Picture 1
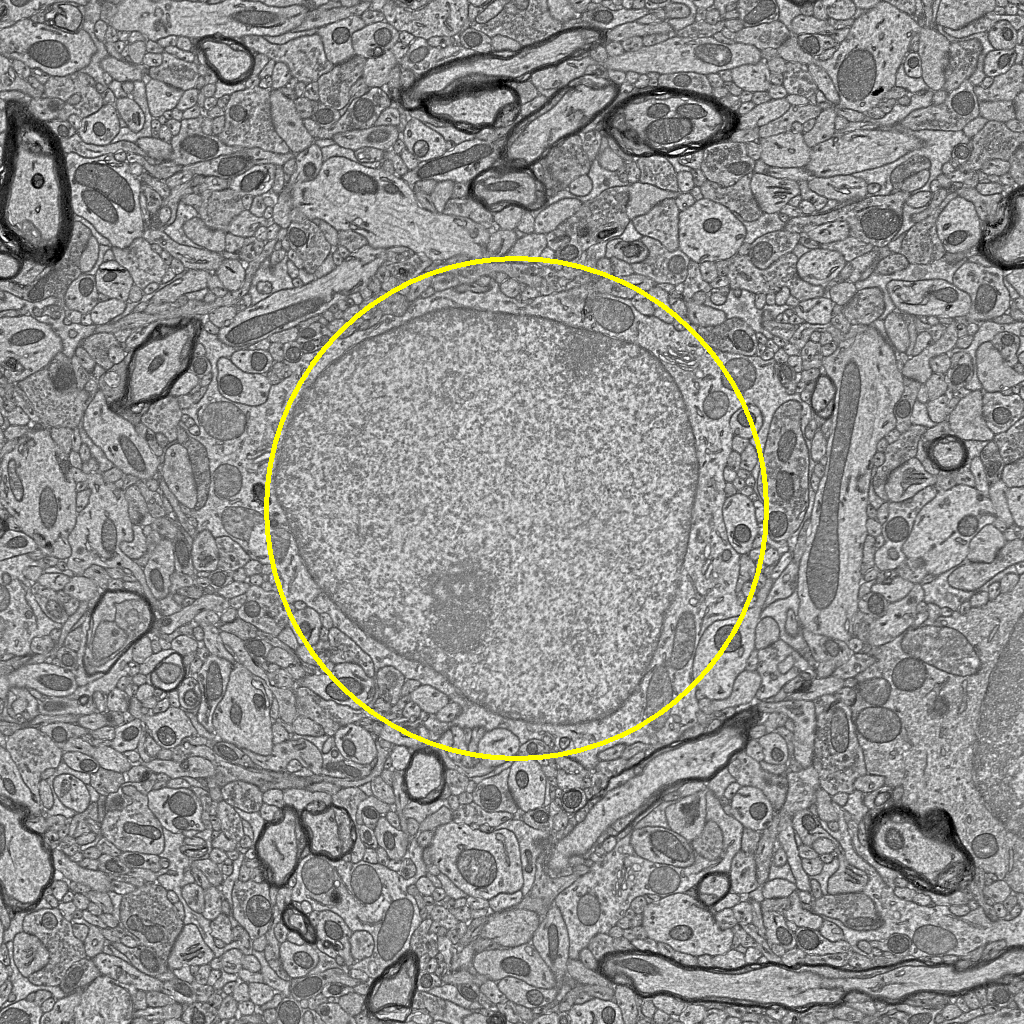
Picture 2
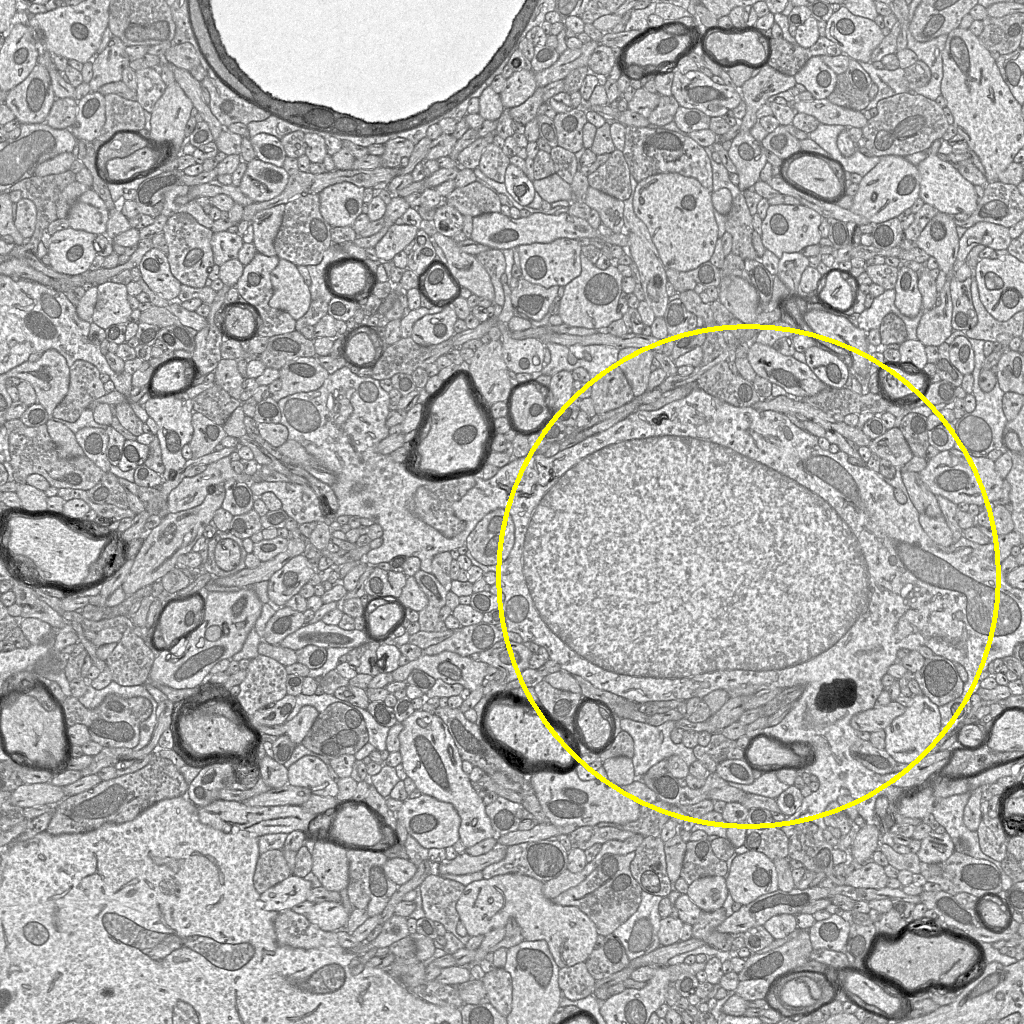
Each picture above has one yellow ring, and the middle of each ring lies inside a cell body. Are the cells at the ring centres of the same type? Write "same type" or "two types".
same type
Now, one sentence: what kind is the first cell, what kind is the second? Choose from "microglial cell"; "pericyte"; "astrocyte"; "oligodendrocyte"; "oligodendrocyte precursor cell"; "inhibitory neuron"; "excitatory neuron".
Each cell, in the first picture and the second, is an astrocyte.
